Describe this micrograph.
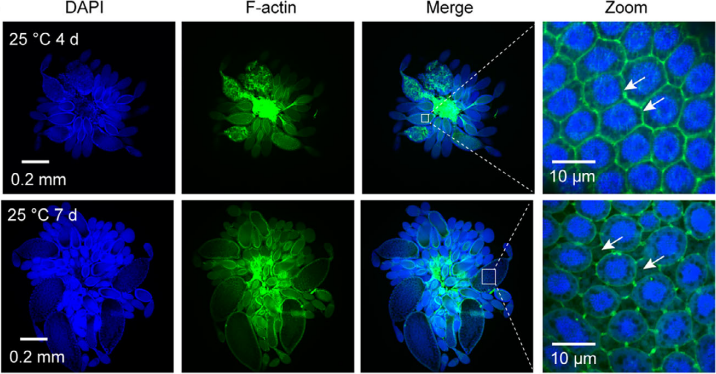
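These are whole insect ovaries in fluorescence, with ovarioles radiating from a centre, and enlargements of the follicular epithelium covering an egg chamber. Green is brightest at the centre of the ovary and outlines the ovarioles and egg chambers. Thin green lines trace the cell borders, and the arrows point to spots where neighbouring cells meet. In the lower enlargement the cells look more separated at their corners than in the upper one.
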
